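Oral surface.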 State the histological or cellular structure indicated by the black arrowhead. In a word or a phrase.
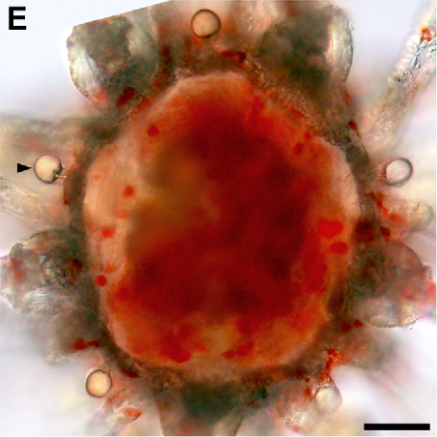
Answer: Sphaeridia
